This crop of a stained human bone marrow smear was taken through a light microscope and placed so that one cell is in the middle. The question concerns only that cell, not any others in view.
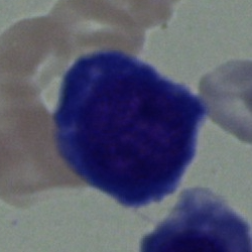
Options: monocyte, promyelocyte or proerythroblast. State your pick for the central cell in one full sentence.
The middle of this crop holds a proerythroblast.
